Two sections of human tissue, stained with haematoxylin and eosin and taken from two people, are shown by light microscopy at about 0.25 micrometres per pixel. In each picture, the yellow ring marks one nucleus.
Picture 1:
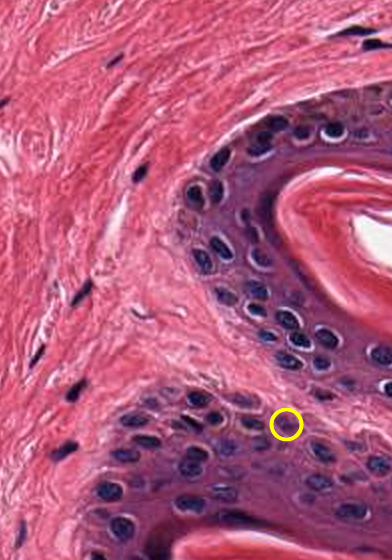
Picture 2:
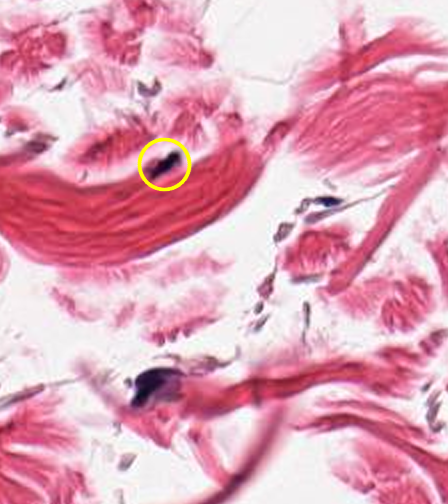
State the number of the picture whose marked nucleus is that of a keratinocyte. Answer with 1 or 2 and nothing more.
1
